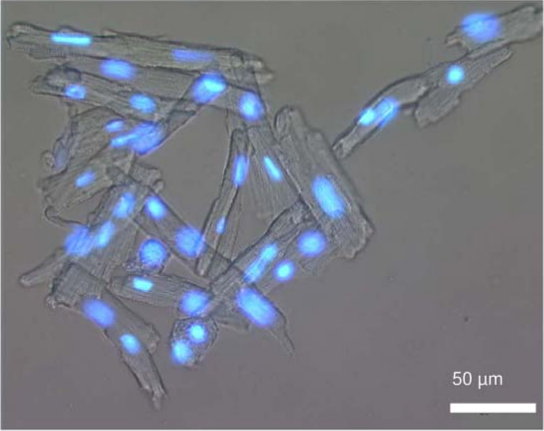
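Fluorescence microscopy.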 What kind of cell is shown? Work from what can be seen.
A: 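Isolated cells are elongated, brick-like rods with blunt, squared-off ends. Several cells contain two blue oval nuclei lying centrally. On this evidence: cardiomyocytes.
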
